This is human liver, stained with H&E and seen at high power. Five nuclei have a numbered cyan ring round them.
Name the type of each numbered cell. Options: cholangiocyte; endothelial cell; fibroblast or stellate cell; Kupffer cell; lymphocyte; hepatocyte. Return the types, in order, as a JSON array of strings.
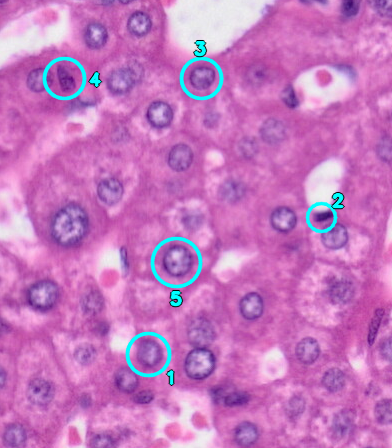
["hepatocyte", "fibroblast or stellate cell", "hepatocyte", "fibroblast or stellate cell", "hepatocyte"]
